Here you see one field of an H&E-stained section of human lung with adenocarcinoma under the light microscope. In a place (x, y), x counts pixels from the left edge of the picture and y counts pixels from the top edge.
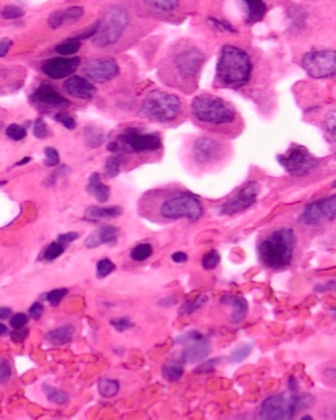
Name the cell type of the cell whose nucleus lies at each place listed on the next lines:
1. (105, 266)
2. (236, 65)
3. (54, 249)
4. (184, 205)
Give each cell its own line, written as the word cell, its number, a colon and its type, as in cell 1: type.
cell 1: lymphocyte
cell 2: carcinoma cell
cell 3: plasma cell
cell 4: carcinoma cell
